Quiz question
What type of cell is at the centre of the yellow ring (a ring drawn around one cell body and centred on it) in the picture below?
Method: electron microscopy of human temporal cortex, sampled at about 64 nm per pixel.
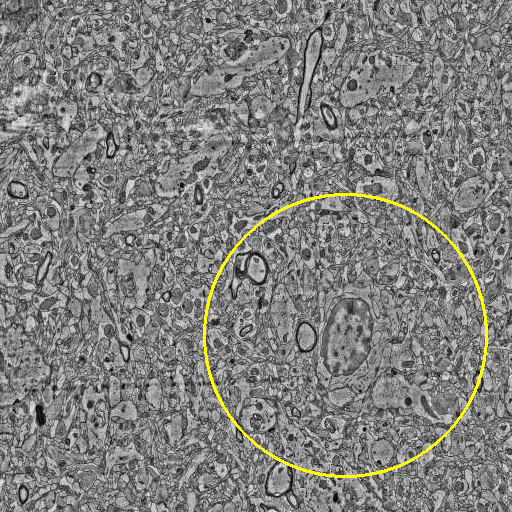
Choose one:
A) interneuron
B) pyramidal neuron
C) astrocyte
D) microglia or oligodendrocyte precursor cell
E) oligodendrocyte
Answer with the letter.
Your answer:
D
